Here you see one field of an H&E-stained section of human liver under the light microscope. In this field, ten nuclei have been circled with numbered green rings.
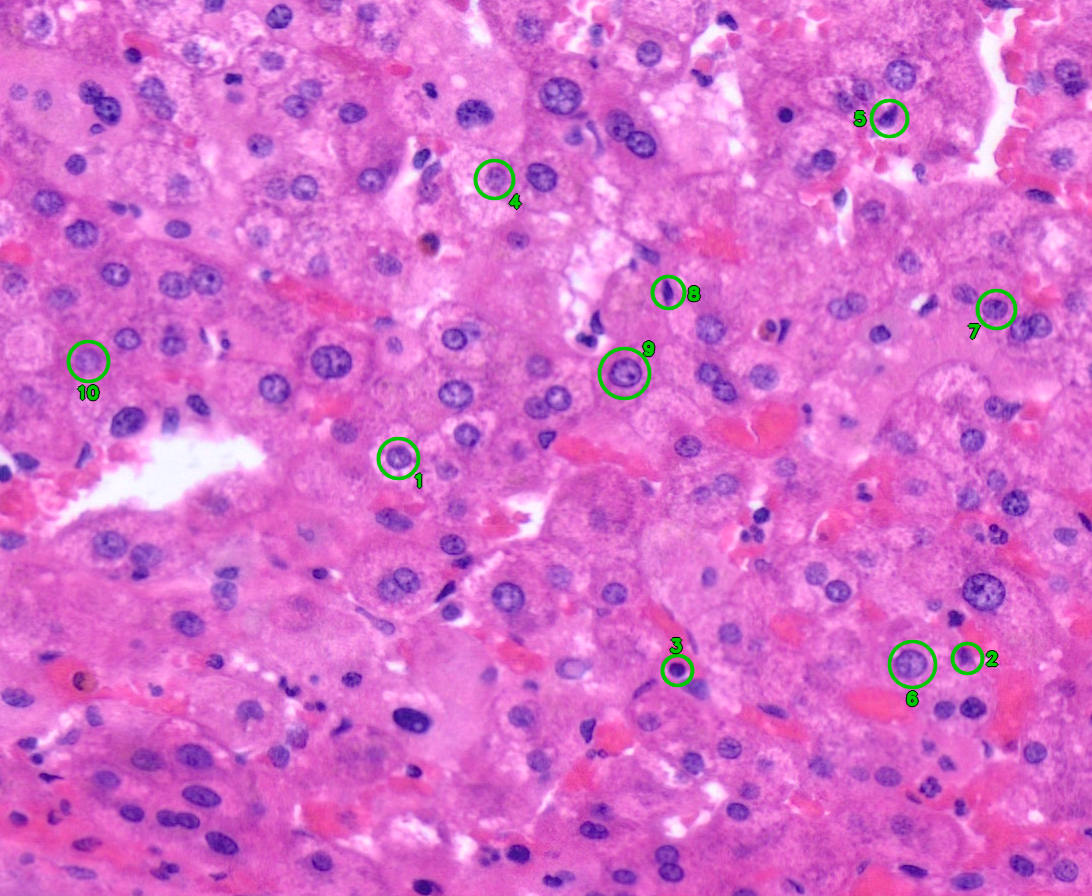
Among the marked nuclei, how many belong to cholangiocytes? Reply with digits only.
0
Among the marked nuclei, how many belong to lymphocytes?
1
